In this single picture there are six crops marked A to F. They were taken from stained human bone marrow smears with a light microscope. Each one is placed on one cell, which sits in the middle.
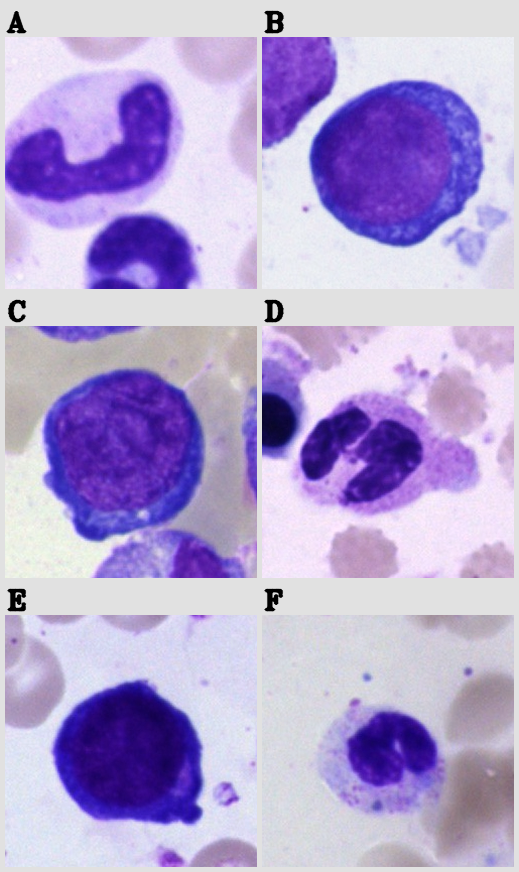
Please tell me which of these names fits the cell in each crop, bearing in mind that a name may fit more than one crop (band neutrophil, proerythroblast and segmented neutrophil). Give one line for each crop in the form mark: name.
A: band neutrophil
B: proerythroblast
C: proerythroblast
D: segmented neutrophil
E: proerythroblast
F: segmented neutrophil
